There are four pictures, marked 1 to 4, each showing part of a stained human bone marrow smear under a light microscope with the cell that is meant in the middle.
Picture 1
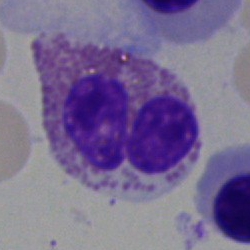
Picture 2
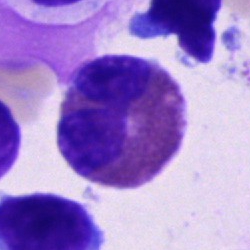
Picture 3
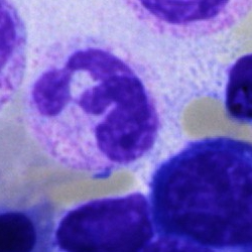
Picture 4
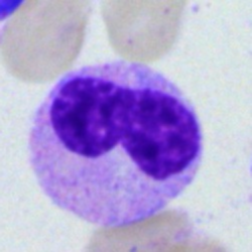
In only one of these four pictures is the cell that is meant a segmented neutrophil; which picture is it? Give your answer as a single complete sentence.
Picture 3 is the one that shows the segmented neutrophil.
